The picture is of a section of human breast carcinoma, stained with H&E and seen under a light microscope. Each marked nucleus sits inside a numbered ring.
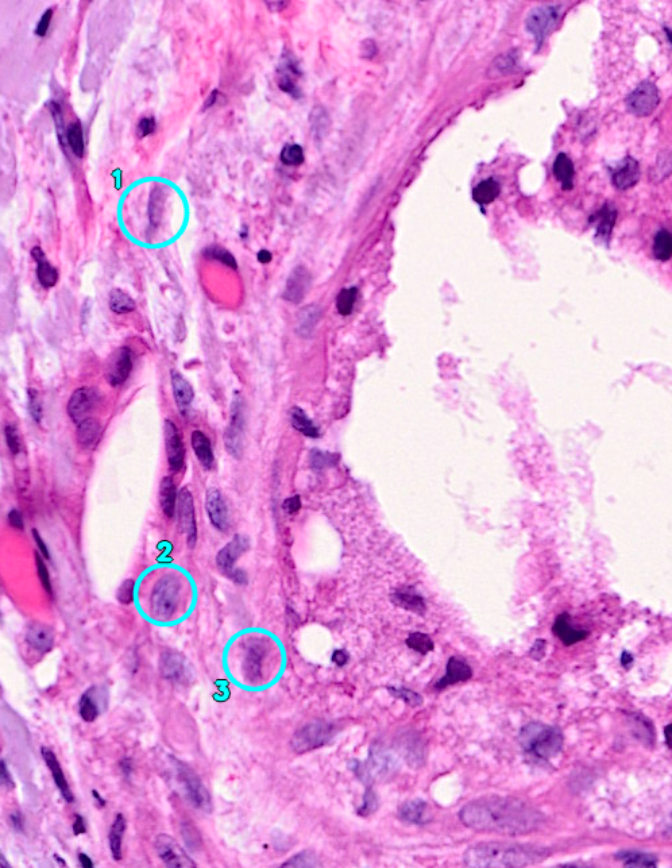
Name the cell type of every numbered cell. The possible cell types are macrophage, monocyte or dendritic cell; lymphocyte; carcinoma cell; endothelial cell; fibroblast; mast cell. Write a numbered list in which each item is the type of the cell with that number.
1. fibroblast
2. endothelial cell
3. fibroblast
